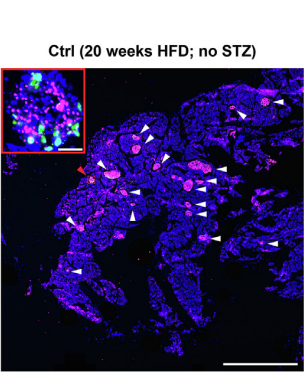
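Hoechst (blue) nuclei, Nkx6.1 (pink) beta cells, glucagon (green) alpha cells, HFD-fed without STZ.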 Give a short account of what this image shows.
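A low-power view of pancreas cut into lobules, with dense blue exocrine tissue and many round islets scattered through it. The islets are large and filled with pink-stained cells, with green-stained cells at their edges, as the enlarged inset of one islet shows.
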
